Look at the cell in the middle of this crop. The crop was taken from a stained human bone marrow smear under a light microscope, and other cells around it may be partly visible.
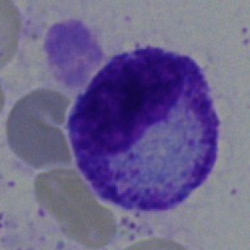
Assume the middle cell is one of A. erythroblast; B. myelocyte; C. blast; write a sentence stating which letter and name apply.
In the middle of the crop is a myelocyte; option B is therefore correct.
